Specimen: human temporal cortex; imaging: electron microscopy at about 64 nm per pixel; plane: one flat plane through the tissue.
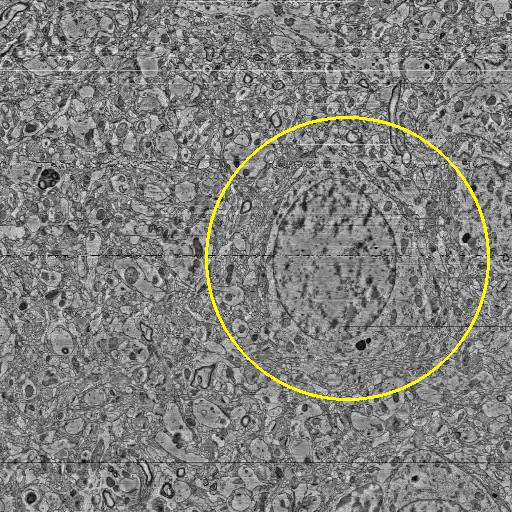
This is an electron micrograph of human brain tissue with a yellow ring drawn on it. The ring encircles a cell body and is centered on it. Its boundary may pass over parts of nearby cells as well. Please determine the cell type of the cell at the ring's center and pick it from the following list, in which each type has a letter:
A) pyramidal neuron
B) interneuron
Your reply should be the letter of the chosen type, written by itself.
A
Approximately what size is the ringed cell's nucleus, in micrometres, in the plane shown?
In this plane, the nucleus is roughly 11 by 8 micrometres.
